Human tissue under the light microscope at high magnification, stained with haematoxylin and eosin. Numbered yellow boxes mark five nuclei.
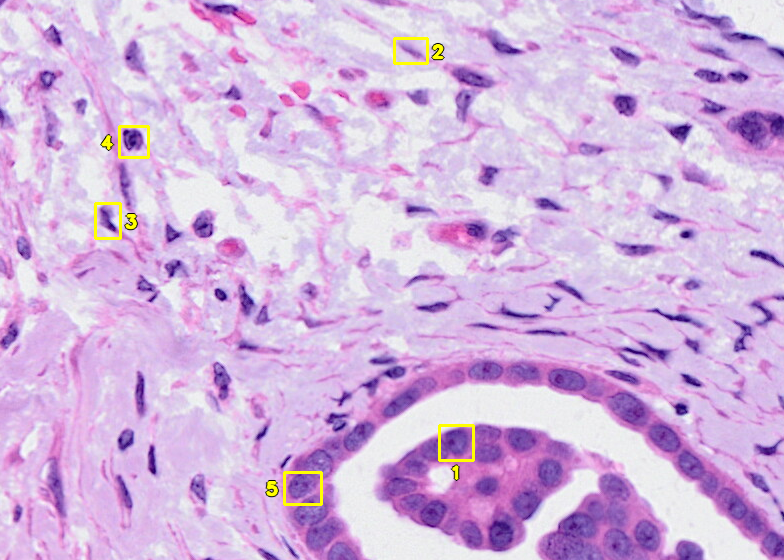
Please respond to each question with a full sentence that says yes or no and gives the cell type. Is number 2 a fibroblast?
Yes, kindly take note: the cell numbered 2 is a fibroblast.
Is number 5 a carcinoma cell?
Yes, within this section, cell number 5 is a carcinoma cell.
